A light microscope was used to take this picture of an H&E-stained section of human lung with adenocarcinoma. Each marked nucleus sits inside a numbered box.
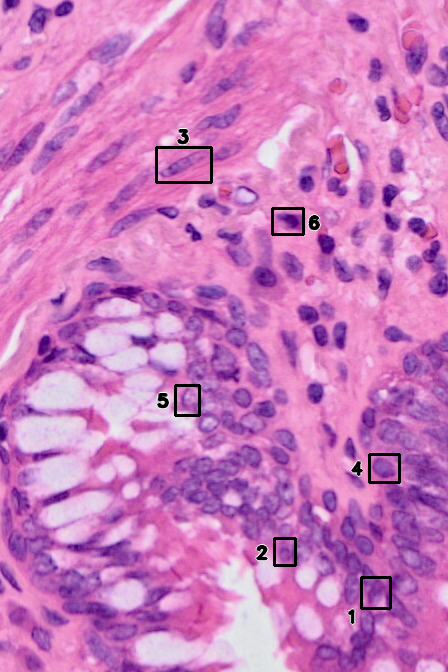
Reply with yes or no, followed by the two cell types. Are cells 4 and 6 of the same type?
No, cell 4 should be called a ciliated epithelial cell, and cell 6 should be called a plasma cell.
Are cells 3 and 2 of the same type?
No, cell 3 is typed as a smooth muscle cell or pericyte, and cell 2 is typed as a ciliated epithelial cell.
